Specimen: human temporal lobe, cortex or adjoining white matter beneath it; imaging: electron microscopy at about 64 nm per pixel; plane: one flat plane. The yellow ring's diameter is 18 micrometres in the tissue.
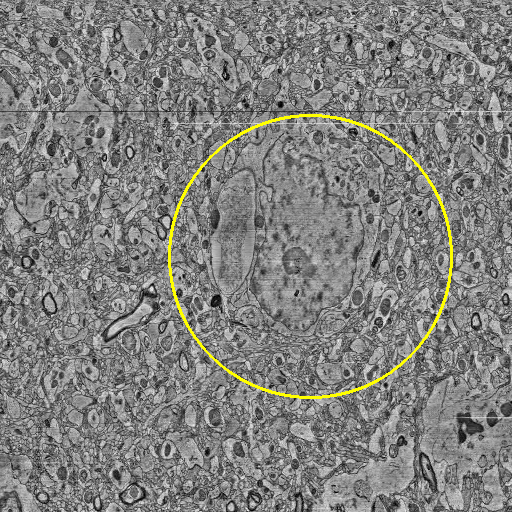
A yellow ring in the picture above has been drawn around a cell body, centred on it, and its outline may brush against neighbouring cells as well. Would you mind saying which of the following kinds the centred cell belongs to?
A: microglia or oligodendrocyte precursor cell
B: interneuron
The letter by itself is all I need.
B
